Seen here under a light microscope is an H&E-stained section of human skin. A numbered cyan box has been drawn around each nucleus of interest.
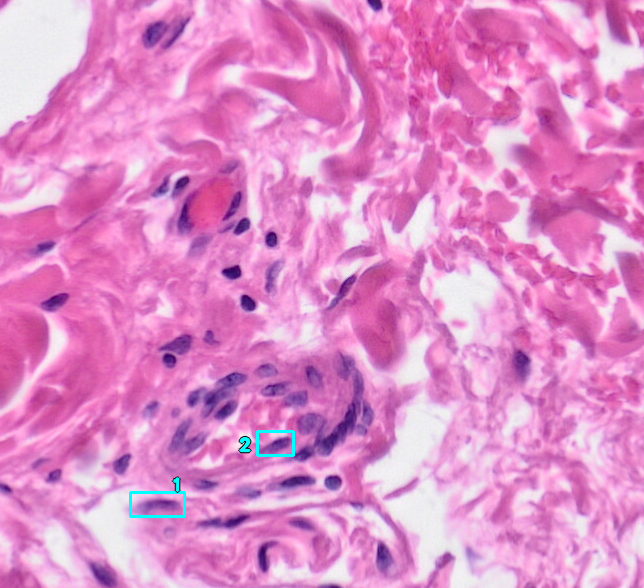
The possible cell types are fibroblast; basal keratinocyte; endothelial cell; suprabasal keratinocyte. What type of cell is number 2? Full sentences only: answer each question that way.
The cell that is numbered 2 is an endothelial cell.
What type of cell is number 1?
The marked cell with the number 1 is recognised as a fibroblast.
